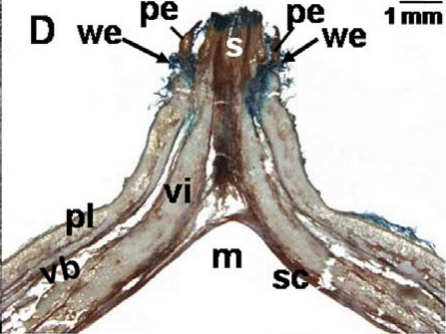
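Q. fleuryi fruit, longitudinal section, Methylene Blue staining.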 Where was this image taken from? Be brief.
Apex.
